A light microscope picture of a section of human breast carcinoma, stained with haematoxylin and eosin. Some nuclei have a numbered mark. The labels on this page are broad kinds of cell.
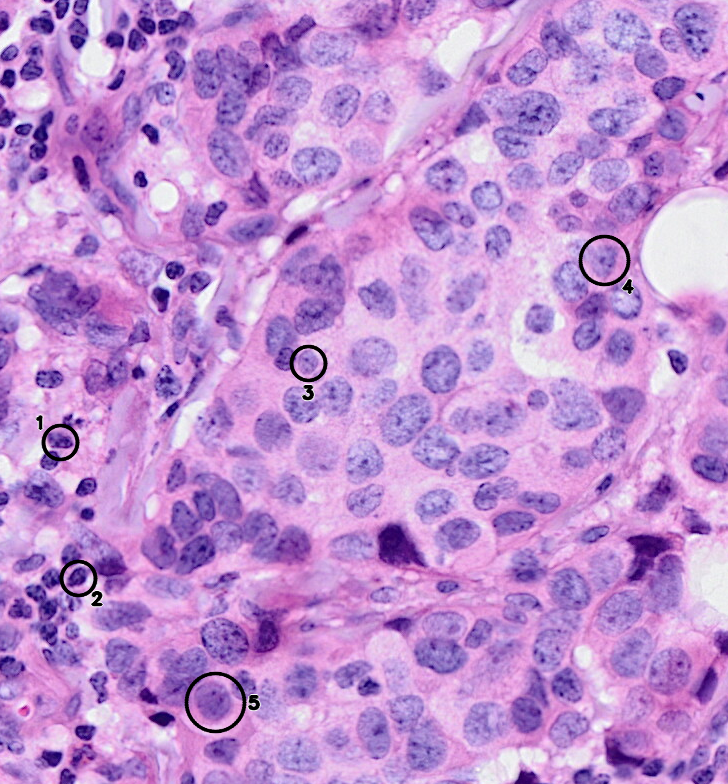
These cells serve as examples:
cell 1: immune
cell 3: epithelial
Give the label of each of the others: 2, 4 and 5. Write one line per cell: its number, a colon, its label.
2: immune
4: epithelial
5: epithelial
